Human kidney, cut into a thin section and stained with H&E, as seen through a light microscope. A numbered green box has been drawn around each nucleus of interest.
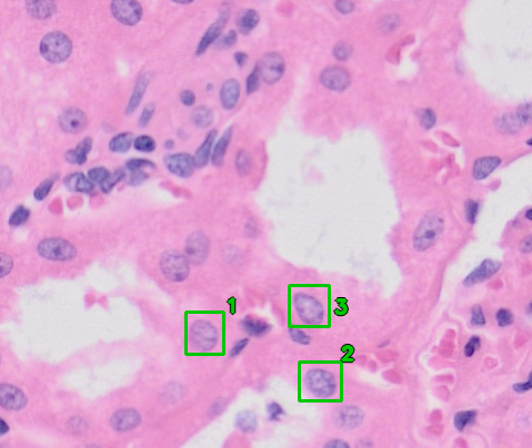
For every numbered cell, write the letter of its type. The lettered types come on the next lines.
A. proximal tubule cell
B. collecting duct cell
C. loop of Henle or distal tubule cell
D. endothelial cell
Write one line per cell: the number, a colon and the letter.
1: A
2: C
3: A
